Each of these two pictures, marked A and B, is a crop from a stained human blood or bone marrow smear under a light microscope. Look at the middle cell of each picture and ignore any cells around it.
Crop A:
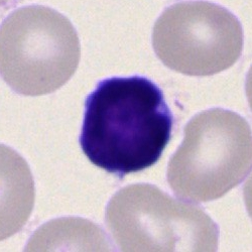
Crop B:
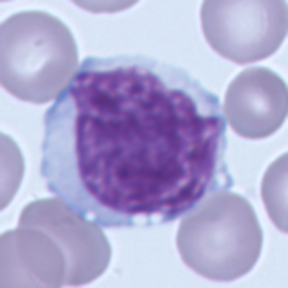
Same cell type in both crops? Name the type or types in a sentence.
No, the cell centred in crop B is a blast; crop A centres on a lymphocyte.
